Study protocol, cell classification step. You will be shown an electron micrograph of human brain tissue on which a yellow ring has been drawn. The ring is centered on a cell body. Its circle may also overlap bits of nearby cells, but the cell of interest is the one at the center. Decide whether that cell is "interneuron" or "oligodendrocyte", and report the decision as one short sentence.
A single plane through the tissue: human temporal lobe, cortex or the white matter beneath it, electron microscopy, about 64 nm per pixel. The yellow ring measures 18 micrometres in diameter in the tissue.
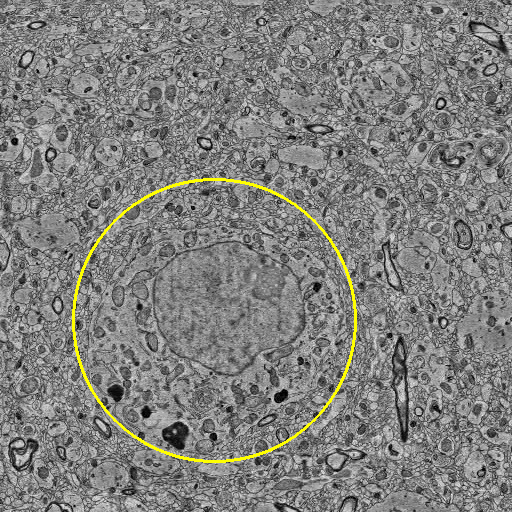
The marked cell is an interneuron.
